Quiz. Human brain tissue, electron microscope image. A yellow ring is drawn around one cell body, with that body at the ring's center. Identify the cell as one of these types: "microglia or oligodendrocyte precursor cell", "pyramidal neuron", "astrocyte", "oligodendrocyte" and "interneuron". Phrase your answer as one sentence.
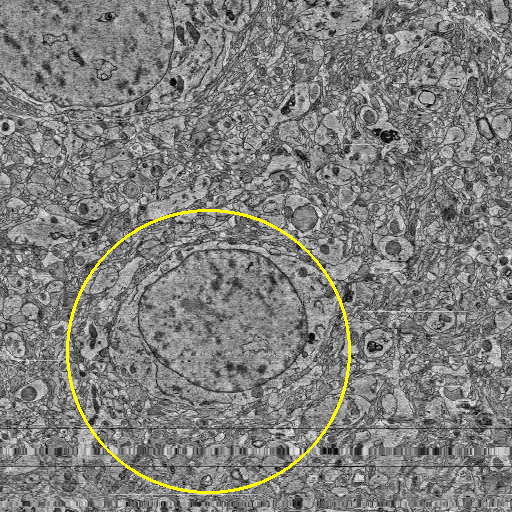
At the center of the ring sits a pyramidal neuron.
